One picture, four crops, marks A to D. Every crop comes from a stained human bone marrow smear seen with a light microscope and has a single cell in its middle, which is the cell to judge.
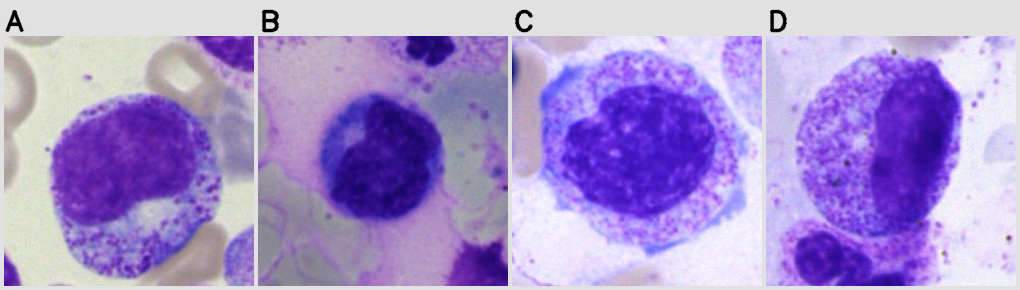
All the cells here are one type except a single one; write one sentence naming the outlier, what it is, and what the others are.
Crop B is the exception here: it is a monocyte, and the others are promyelocytes.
